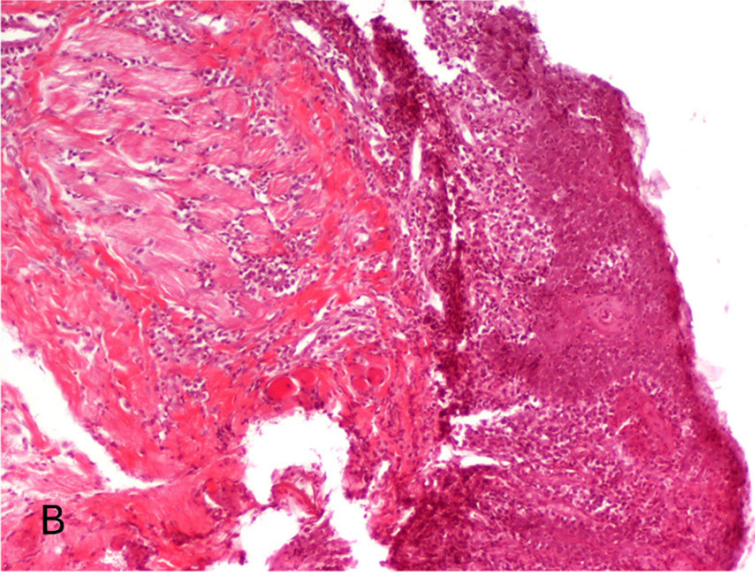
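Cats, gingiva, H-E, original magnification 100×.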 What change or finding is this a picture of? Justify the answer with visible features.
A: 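Severe inflammatory cell infiltration. Dense sheets of small dark nuclei fill the tissue beneath and within the epithelium. The infiltrate extends between the pink fibre bundles on the left.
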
